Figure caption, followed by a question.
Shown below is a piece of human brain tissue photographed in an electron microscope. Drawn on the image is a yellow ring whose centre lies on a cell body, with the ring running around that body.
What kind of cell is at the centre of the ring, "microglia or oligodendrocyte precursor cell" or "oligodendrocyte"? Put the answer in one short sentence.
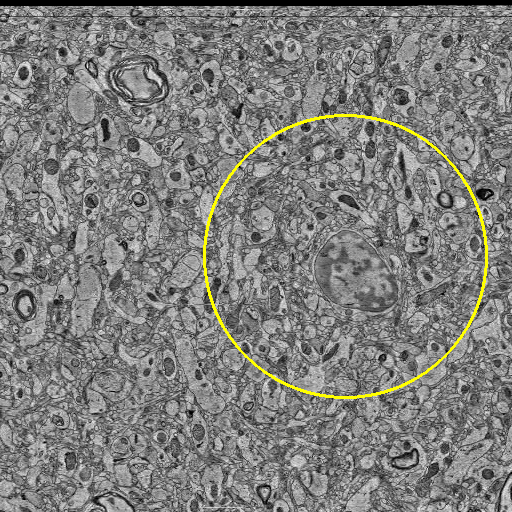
The ring marks the cell body of a microglial cell or oligodendrocyte precursor cell.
